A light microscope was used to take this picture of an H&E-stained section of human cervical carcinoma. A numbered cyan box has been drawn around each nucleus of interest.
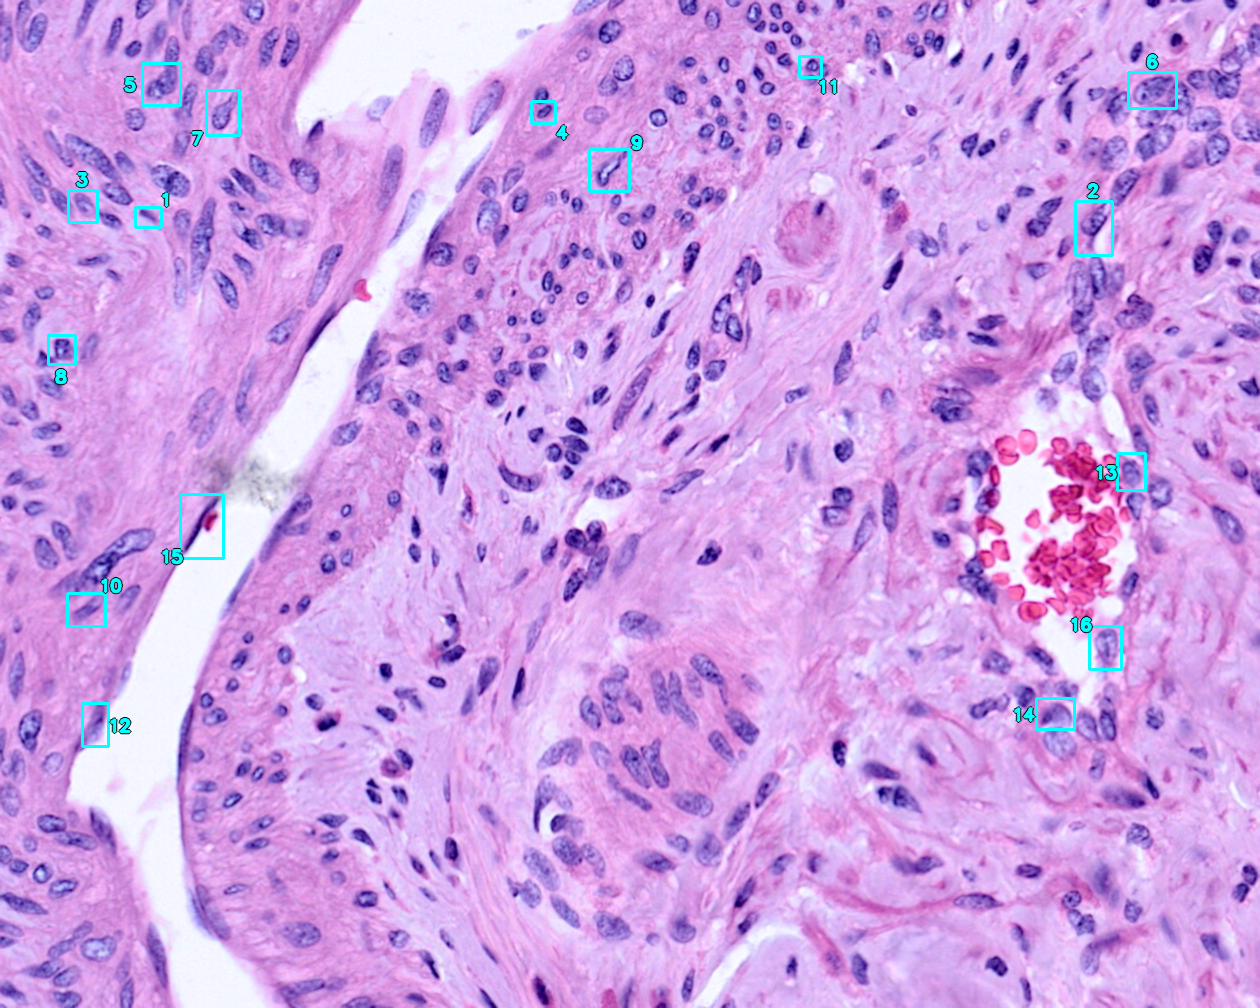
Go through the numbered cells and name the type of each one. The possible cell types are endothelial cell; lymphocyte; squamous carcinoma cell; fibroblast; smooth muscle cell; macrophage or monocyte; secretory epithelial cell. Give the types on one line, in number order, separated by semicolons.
smooth muscle cell; endothelial cell; smooth muscle cell; smooth muscle cell; smooth muscle cell; endothelial cell; smooth muscle cell; smooth muscle cell; smooth muscle cell; smooth muscle cell; smooth muscle cell; endothelial cell; endothelial cell; endothelial cell; endothelial cell; endothelial cell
